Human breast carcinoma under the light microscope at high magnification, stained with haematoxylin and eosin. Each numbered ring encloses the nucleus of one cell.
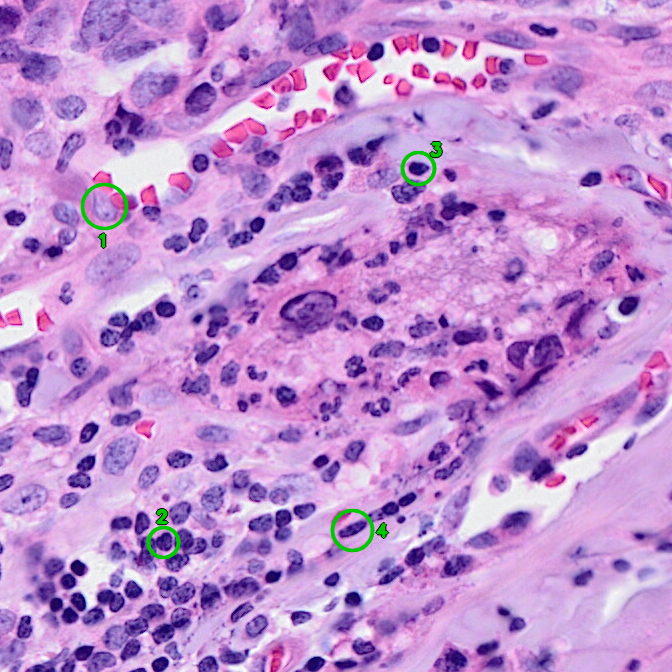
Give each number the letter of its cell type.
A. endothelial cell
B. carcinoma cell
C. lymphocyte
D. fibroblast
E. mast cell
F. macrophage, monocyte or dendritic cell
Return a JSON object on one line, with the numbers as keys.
{"1": "A", "2": "C", "3": "C", "4": "C"}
